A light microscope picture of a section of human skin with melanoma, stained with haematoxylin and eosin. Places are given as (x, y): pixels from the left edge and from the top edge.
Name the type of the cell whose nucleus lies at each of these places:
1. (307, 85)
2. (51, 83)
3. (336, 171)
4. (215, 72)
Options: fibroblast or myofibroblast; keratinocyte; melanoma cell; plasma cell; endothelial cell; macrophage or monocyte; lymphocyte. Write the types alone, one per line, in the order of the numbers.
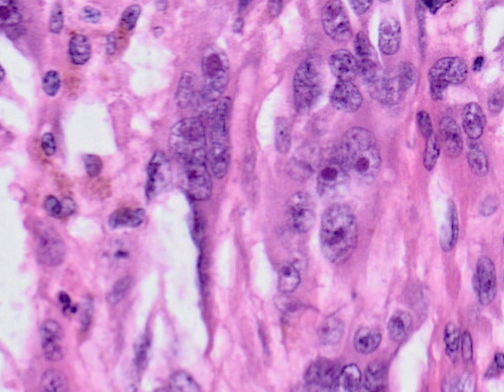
melanoma cell
lymphocyte
melanoma cell
melanoma cell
